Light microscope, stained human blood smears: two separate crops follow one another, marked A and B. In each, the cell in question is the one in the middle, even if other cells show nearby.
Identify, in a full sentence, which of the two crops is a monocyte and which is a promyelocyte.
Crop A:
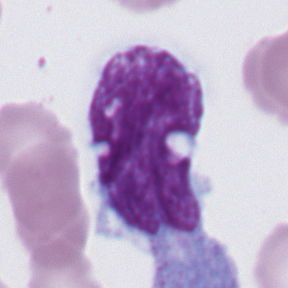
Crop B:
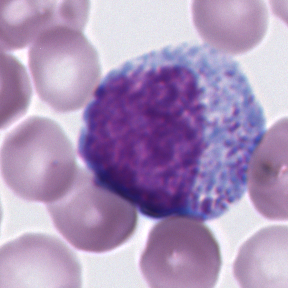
The cell of crop A is a monocyte; that of crop B is a promyelocyte.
